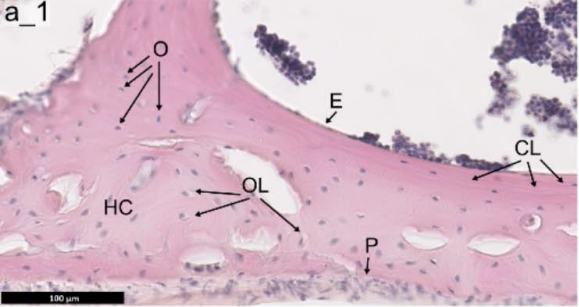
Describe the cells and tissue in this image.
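The matrix shows lamellar layering, with thin cement lines separating regions of differently oriented bone. Rounded empty spaces within the matrix represent vascular canals, one of them a Haversian canal. The upper surface facing the marrow space is lined by a thin endosteum, and a thin cellular layer lies along the lower surface, while clusters of marrow cells lie in the space above.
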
